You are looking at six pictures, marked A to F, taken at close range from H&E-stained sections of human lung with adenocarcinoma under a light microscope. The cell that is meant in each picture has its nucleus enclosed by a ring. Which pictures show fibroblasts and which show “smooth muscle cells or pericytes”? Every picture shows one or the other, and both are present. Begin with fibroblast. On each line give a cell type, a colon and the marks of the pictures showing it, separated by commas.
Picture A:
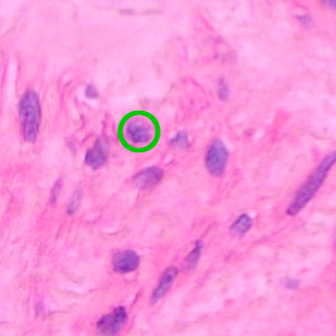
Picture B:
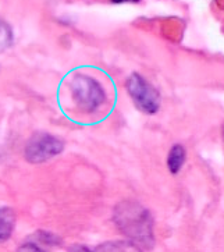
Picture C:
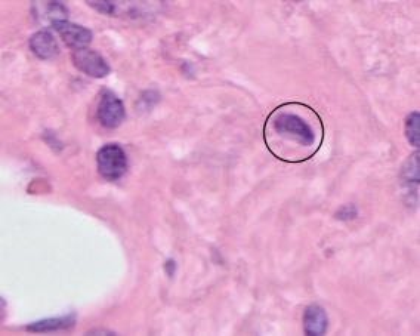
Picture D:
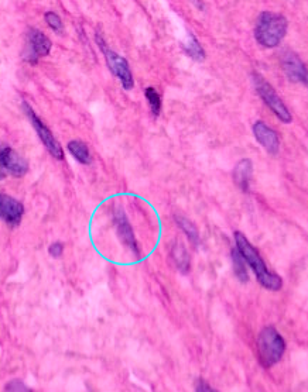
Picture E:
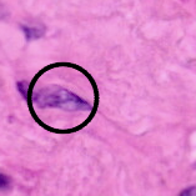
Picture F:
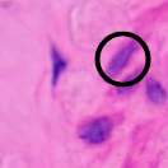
fibroblast: B, C, E
smooth muscle cell or pericyte: A, D, F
